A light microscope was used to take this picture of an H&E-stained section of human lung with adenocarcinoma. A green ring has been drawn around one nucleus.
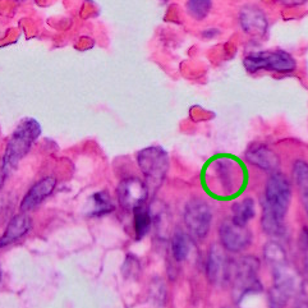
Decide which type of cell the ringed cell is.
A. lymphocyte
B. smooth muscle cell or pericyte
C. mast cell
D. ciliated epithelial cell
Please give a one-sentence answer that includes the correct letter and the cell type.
Settle on option D; the ringed cell is a ciliated epithelial cell.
